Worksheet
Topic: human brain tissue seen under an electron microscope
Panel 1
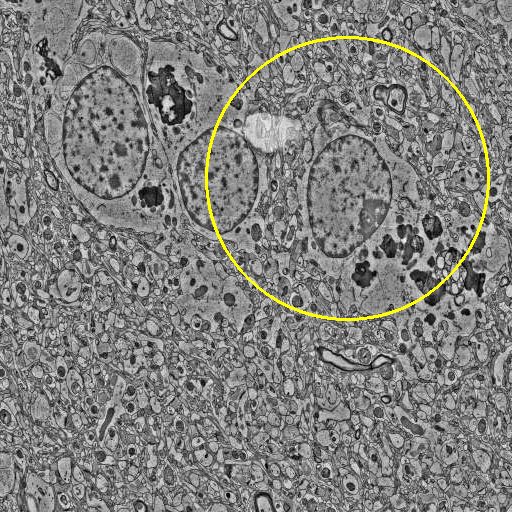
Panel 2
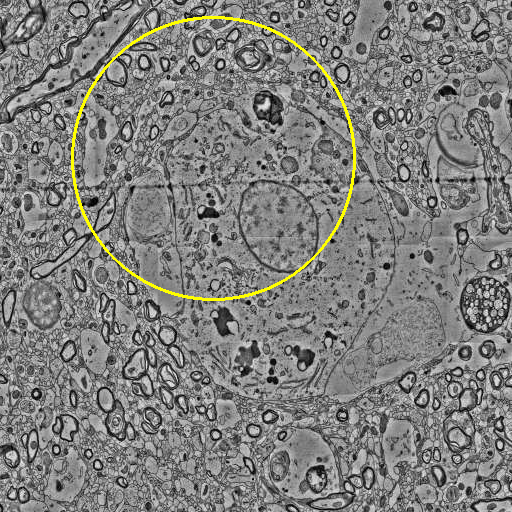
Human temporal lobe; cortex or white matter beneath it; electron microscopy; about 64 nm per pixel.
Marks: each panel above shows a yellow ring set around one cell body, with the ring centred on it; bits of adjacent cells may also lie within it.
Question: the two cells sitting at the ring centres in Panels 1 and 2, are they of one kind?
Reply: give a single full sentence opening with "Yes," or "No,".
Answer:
No, the two ring-centre cells in Panel 1 and Panel 2 are of two kinds.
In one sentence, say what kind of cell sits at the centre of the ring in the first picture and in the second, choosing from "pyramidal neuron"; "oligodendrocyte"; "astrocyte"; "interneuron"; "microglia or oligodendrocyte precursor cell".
The first picture's ringed cell is an astrocyte, while the second picture's is an oligodendrocyte.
